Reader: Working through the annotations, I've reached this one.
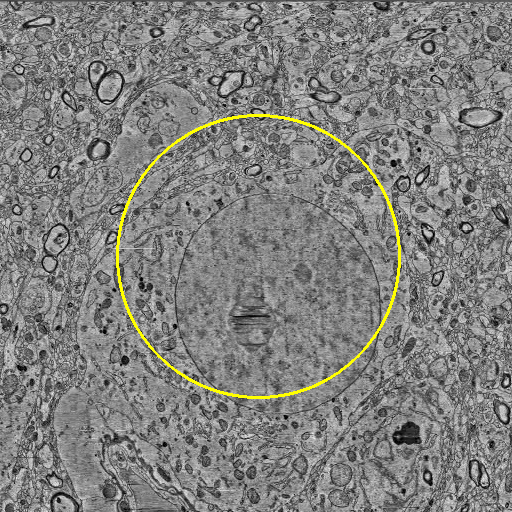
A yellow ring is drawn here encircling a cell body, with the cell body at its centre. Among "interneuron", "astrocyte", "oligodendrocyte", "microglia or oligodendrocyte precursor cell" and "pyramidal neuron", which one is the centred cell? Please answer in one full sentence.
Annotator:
The cell body at the centre of the yellow ring in this image belongs to an interneuron.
